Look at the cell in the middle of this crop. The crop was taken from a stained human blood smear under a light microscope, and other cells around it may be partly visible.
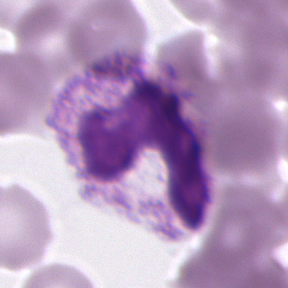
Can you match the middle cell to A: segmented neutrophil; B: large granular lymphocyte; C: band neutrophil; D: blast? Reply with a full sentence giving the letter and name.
That the central cell is a segmented neutrophil makes option A correct.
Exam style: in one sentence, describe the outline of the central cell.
This cell does not have a smooth edge; it is ragged or extended into projections.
